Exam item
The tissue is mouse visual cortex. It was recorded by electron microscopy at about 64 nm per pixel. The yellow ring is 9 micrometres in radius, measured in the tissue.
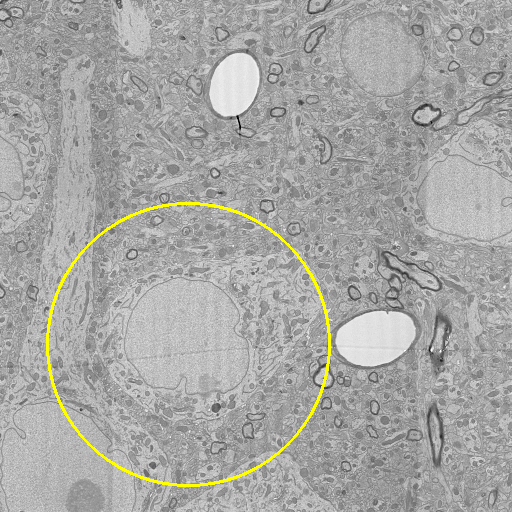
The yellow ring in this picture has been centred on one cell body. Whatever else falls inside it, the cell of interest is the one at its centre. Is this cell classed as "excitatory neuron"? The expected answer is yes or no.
no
